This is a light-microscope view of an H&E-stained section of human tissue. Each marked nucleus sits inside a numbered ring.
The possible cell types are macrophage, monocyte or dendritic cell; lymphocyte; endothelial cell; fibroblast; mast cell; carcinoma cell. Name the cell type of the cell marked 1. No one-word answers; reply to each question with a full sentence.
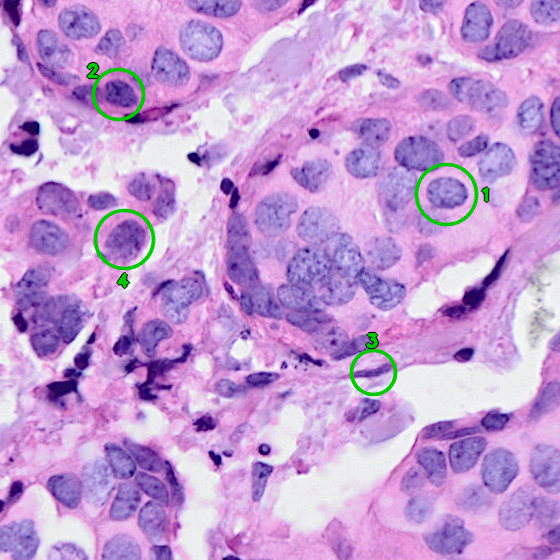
Corresponding to a carcinoma cell is the cell labelled 1.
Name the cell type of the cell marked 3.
In the tissue shown, cell 3 is a fibroblast.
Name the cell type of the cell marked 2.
The label 2 in this section denotes a carcinoma cell.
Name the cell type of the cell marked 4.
That cell with number 4 is a carcinoma cell.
